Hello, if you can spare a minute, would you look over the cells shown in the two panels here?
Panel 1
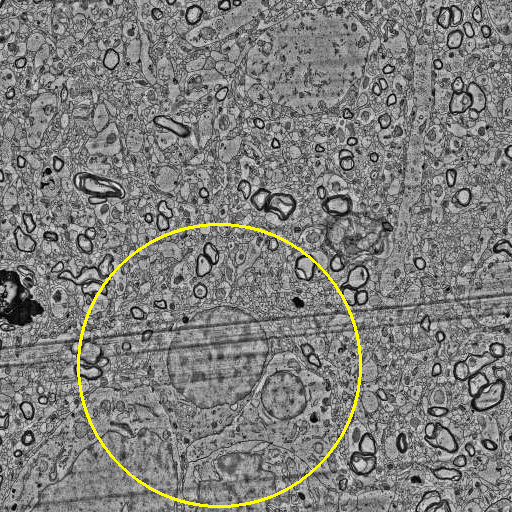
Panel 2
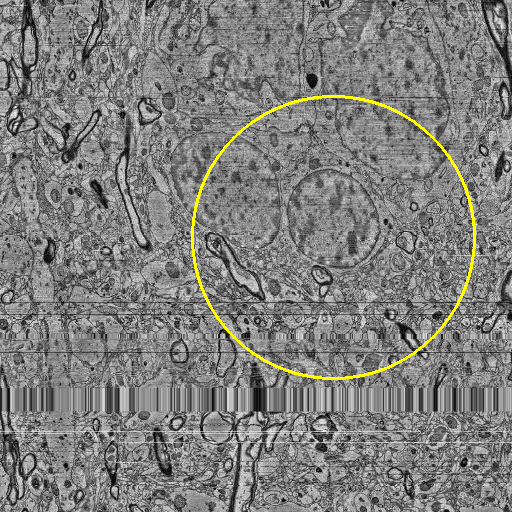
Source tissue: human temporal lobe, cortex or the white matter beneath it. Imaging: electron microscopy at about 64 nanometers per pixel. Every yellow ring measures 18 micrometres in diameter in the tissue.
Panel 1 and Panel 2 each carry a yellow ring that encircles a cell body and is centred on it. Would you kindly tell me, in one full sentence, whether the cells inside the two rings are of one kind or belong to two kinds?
The cells at the centres of the rings in Panel 1 and Panel 2 are of one kind.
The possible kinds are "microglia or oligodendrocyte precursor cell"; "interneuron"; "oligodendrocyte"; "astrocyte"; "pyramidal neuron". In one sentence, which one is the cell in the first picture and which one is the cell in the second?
Each cell at the centre of a ring is an oligodendrocyte.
